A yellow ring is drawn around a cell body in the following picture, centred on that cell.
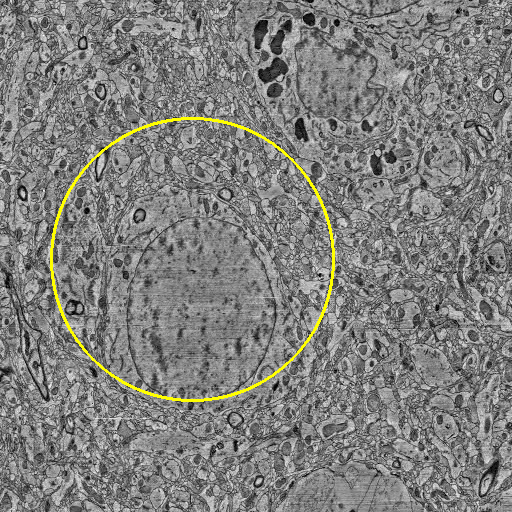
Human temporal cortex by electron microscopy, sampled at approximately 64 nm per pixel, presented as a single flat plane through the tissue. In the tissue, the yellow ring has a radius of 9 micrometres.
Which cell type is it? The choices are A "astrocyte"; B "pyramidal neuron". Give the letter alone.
B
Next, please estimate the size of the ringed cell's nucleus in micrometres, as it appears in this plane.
About 13 by 10 micrometres in this plane.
